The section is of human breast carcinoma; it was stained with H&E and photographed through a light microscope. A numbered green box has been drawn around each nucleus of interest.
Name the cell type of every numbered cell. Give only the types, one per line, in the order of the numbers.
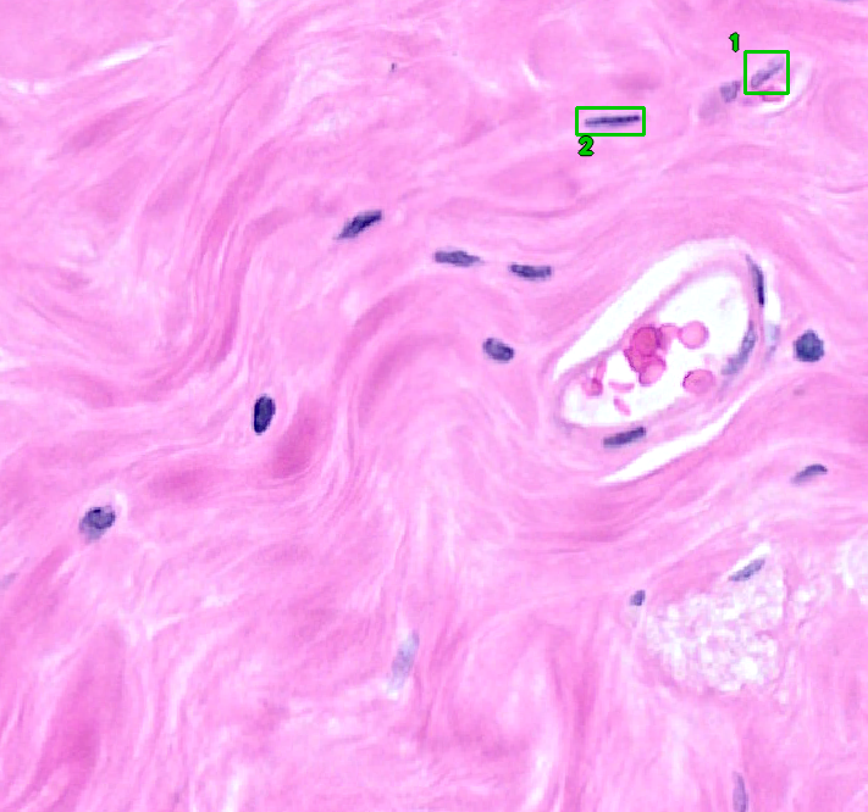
endothelial cell
fibroblast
